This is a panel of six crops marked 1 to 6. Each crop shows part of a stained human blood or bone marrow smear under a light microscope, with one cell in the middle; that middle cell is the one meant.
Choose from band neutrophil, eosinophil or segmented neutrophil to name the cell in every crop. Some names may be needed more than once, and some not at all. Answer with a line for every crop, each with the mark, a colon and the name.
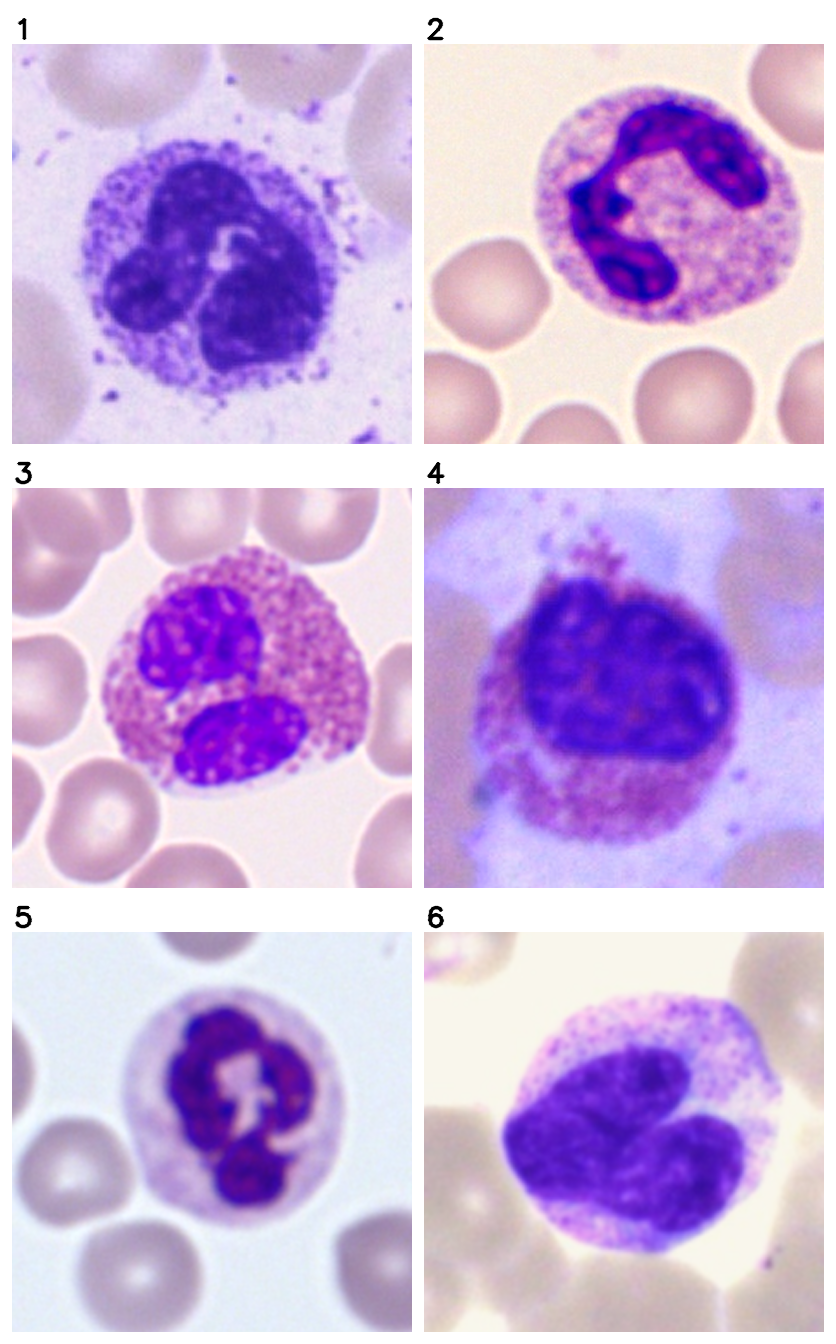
1: segmented neutrophil
2: segmented neutrophil
3: eosinophil
4: eosinophil
5: segmented neutrophil
6: band neutrophil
